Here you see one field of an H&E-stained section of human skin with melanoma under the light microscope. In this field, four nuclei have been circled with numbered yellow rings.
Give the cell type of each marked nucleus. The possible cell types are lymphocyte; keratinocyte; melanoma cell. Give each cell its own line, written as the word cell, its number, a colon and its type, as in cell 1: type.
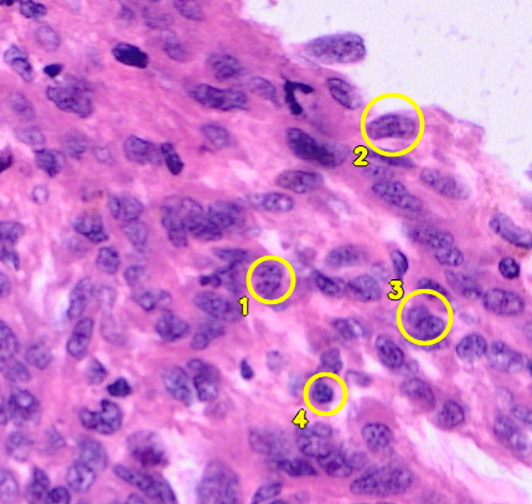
cell 1: melanoma cell
cell 2: melanoma cell
cell 3: melanoma cell
cell 4: lymphocyte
